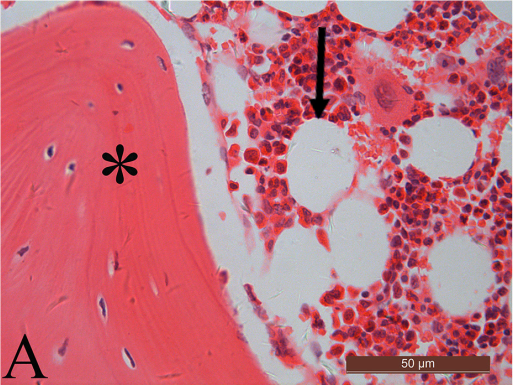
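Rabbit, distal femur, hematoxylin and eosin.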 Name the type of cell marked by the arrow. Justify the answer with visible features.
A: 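The arrow points at a large round clear empty-looking space. The clear space has a thin rim and is surrounded by densely packed small hematopoietic cells. That points to this answer: marrow adipocytes.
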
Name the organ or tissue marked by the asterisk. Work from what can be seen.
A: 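A large homogeneous pink lamellated matrix fills the left side. Scattered small flattened nuclei lie in lacunae within the matrix. The matrix borders the cellular marrow space. So: trabecular bone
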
